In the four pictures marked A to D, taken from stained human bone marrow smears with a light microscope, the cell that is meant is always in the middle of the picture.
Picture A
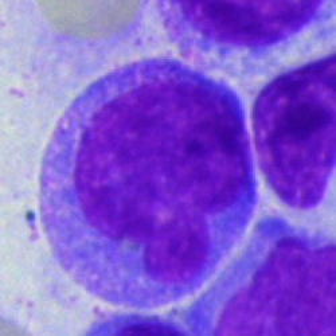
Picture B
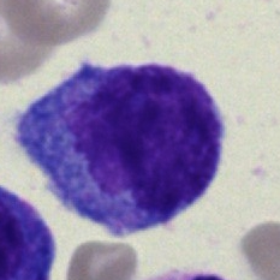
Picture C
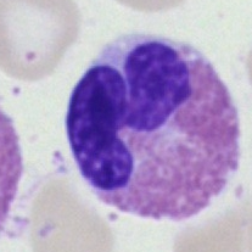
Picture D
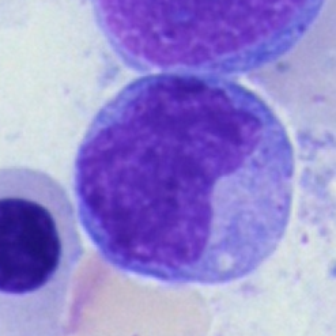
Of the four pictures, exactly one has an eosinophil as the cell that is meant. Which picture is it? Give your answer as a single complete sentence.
The eosinophil is the one in picture C.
